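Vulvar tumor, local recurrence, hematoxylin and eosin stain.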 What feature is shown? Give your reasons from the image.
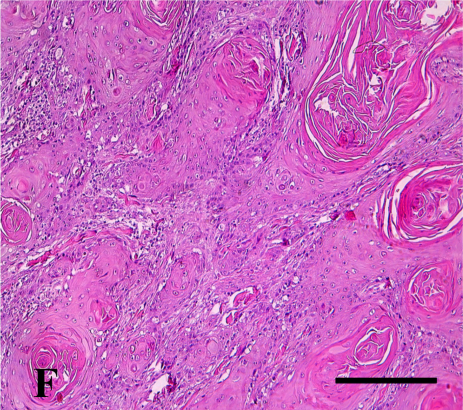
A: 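Keratinous pearls. Many round nests with concentric, lamellated bright pink keratin at their centres. Nests are surrounded by layers of squamous cells with pink cytoplasm.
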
